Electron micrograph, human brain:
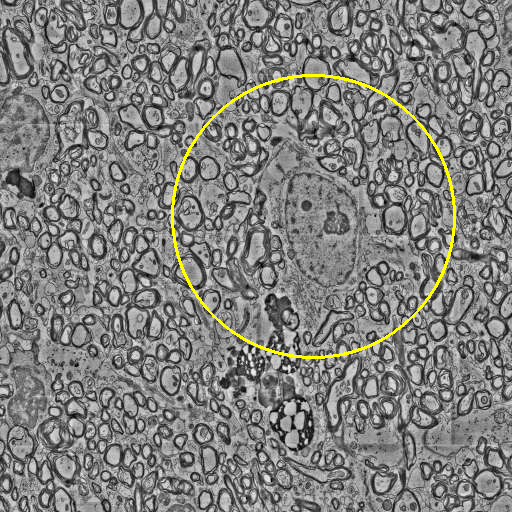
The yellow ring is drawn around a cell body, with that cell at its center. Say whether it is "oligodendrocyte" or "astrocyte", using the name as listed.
astrocyte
